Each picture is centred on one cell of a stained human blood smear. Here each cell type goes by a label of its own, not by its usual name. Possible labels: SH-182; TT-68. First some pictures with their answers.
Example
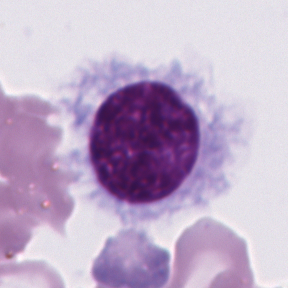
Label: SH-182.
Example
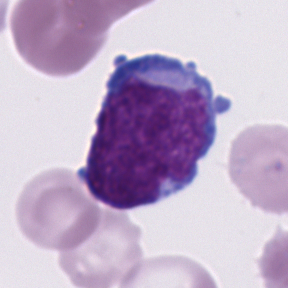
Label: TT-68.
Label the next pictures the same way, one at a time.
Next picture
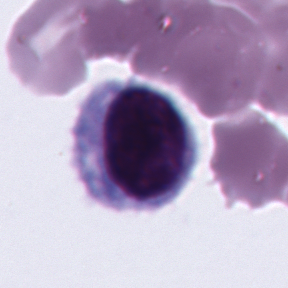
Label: SH-182.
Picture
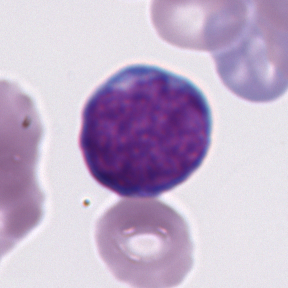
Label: TT-68.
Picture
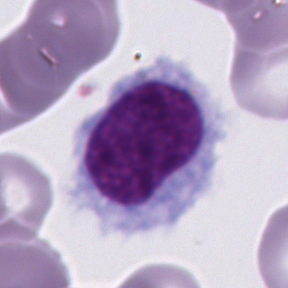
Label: SH-182.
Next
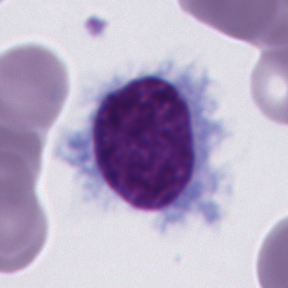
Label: SH-182.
